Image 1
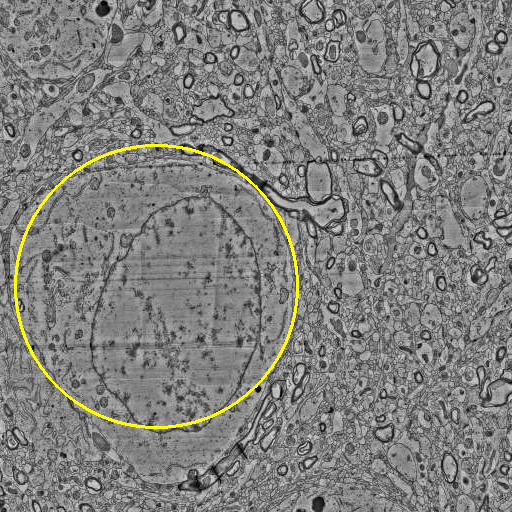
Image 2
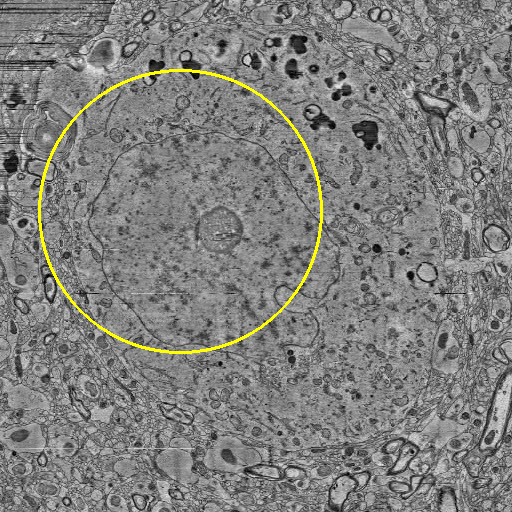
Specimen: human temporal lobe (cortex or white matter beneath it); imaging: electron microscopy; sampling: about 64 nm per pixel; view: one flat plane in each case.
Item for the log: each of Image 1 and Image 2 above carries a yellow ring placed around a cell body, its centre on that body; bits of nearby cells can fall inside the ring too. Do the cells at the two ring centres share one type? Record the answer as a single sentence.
Yes, the two cells at the ring centres in Image 1 and Image 2 share one type.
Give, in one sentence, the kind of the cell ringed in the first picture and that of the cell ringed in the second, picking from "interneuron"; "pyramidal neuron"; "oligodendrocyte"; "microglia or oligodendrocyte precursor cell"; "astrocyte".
Both the first and the second picture show a pyramidal neuron in the ring.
